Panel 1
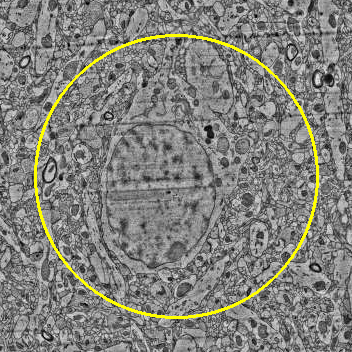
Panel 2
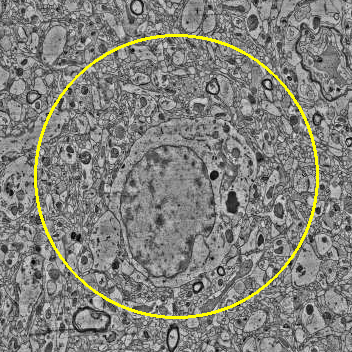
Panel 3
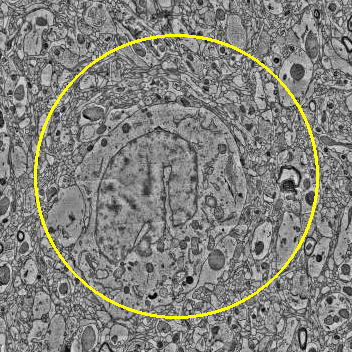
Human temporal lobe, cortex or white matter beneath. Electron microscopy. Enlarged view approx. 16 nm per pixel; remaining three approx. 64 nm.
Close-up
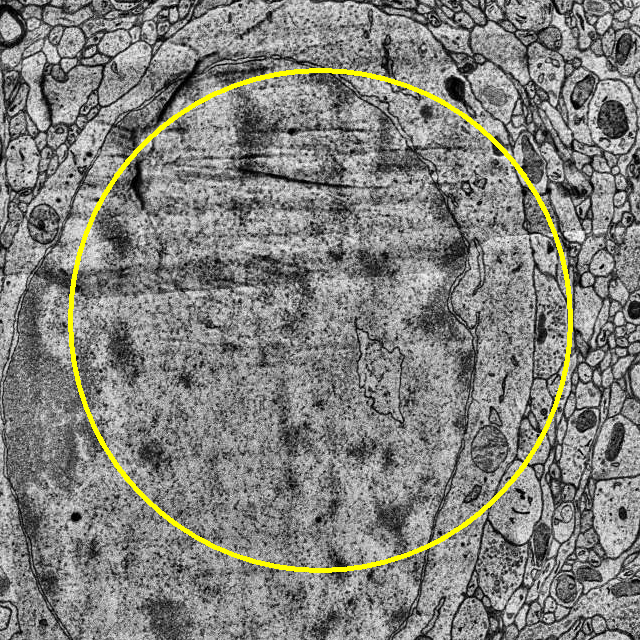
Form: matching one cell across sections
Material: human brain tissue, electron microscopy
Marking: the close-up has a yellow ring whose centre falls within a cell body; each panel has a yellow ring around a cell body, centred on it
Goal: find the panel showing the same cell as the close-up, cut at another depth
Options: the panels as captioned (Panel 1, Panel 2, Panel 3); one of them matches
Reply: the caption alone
Panel 1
